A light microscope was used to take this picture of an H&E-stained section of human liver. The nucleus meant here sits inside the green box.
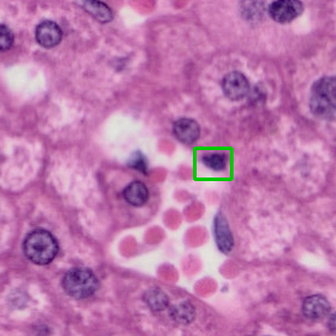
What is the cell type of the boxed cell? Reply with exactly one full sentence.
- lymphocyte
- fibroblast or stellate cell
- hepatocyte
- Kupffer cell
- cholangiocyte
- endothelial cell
So far as cell type goes, the boxed cell is a lymphocyte.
